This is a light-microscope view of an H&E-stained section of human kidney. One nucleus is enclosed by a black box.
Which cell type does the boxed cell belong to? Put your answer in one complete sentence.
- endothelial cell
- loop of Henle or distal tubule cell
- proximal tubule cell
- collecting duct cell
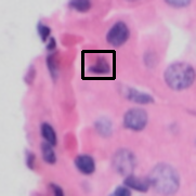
On this particular slide, the boxed cell is an endothelial cell.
